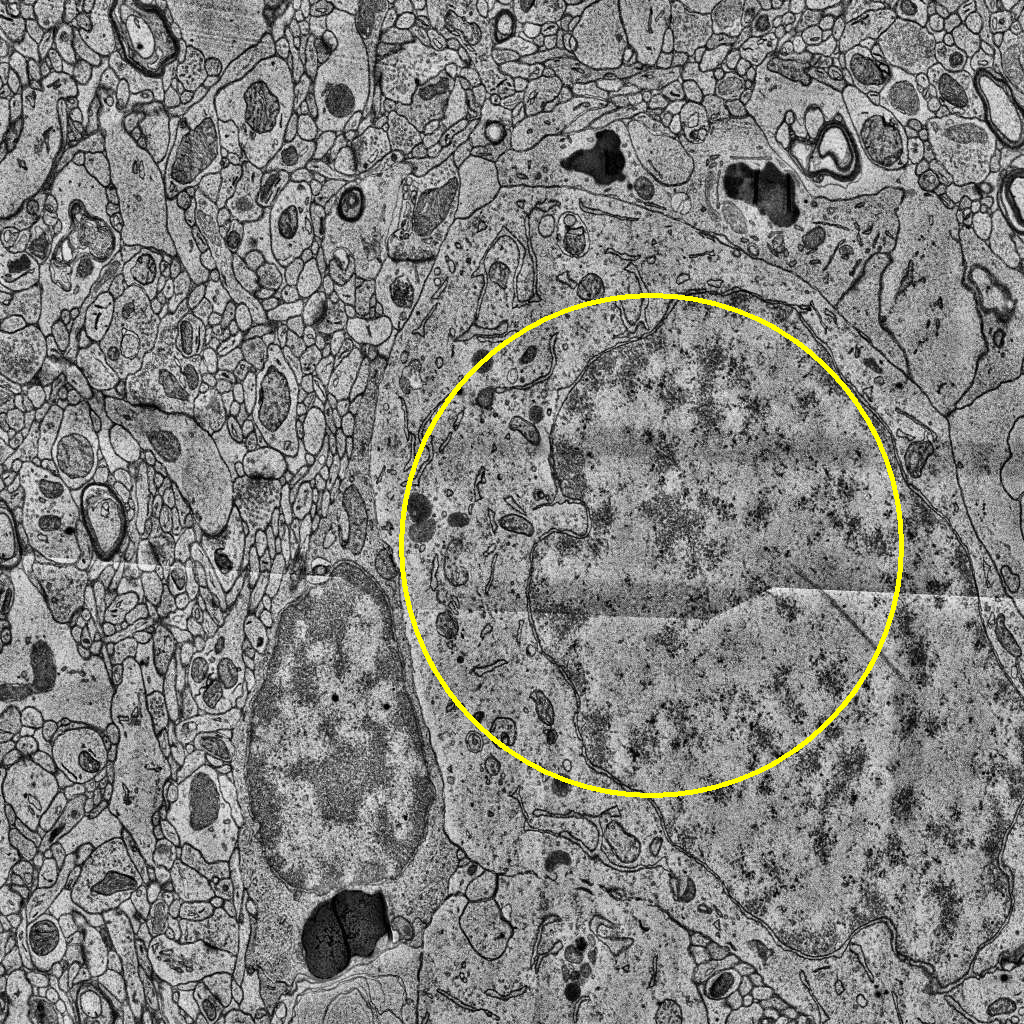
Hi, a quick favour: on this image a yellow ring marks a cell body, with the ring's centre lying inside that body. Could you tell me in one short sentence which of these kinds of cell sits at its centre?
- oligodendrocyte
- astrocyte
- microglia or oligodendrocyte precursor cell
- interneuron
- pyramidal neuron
The ring's centre lies in an interneuron.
